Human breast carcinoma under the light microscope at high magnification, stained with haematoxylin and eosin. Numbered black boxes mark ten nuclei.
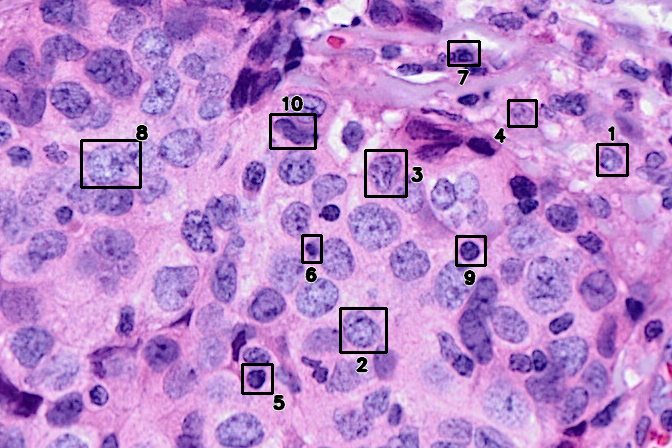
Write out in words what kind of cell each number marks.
Cell 1 is a macrophage, monocyte or dendritic cell, cell 2 is a carcinoma cell, cell 3 is a carcinoma cell, cell 4 is a macrophage, monocyte or dendritic cell, cell 5 is a lymphocyte, cell 6 is a lymphocyte, cell 7 is a lymphocyte, cell 8 is a carcinoma cell, cell 9 is a lymphocyte and cell 10 is a carcinoma cell.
